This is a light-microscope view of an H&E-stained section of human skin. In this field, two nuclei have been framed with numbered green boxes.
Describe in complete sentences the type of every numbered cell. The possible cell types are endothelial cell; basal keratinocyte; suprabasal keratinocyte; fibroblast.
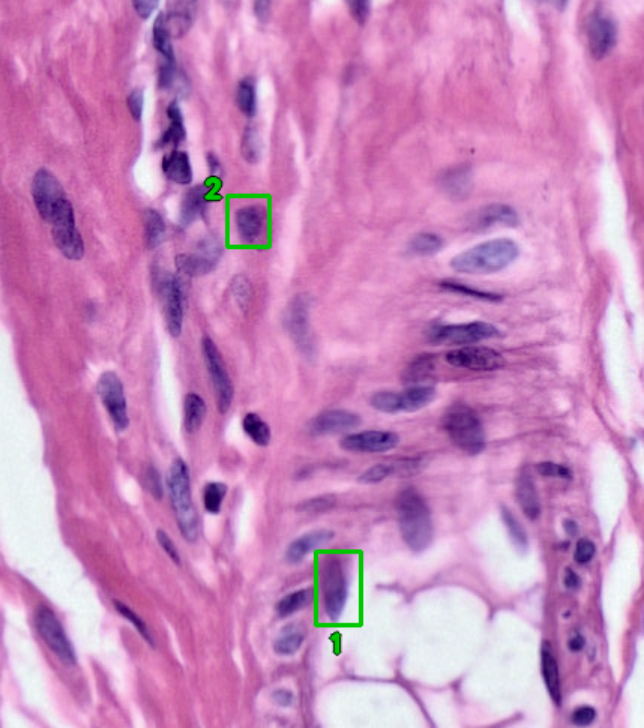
Cell 1 is an endothelial cell. Cell 2 is a fibroblast.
